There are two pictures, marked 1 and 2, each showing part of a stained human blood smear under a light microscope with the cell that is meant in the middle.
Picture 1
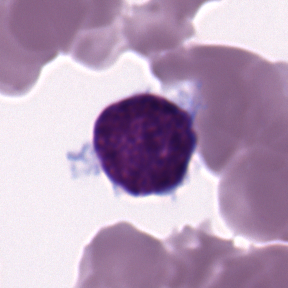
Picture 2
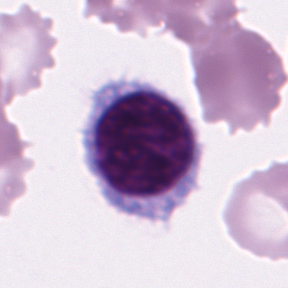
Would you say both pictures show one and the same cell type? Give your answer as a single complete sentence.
Yes, both are hairy cells.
